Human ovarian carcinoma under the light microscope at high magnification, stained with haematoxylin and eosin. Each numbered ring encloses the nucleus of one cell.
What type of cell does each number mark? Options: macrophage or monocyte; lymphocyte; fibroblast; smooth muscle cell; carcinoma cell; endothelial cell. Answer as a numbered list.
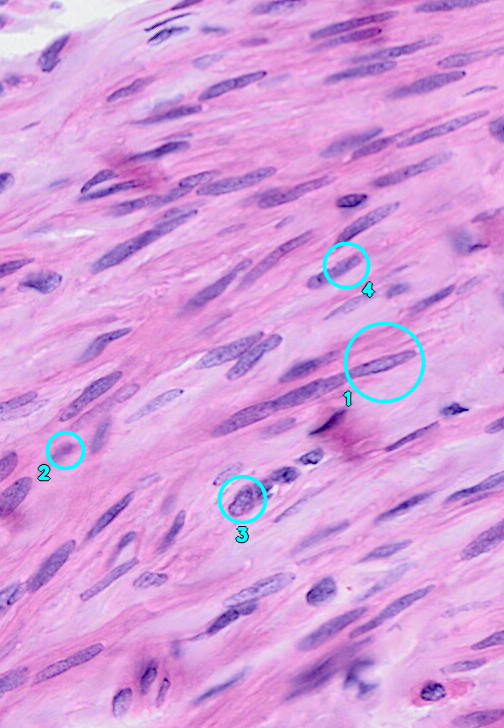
1. smooth muscle cell
2. smooth muscle cell
3. endothelial cell
4. smooth muscle cell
